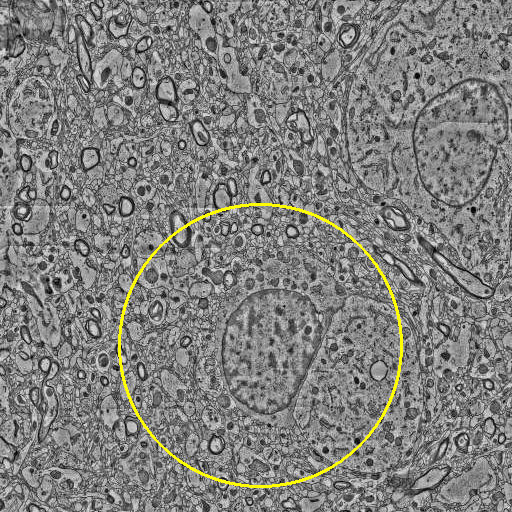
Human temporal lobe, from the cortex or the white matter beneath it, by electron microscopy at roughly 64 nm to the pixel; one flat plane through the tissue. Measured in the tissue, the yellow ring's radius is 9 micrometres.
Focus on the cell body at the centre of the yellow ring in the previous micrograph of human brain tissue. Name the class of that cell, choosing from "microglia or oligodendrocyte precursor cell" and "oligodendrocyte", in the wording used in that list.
oligodendrocyte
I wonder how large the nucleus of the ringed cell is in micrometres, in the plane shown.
In this plane, the nucleus is roughly 8 by 6 micrometres.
